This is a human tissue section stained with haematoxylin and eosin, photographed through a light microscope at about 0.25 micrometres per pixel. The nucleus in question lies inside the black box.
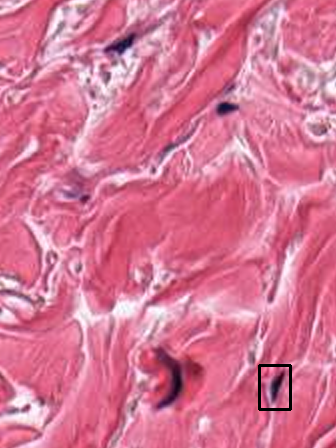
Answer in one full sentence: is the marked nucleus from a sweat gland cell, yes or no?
No, the marked nucleus is carried by a supporting cell rather than by a sweat gland cell.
